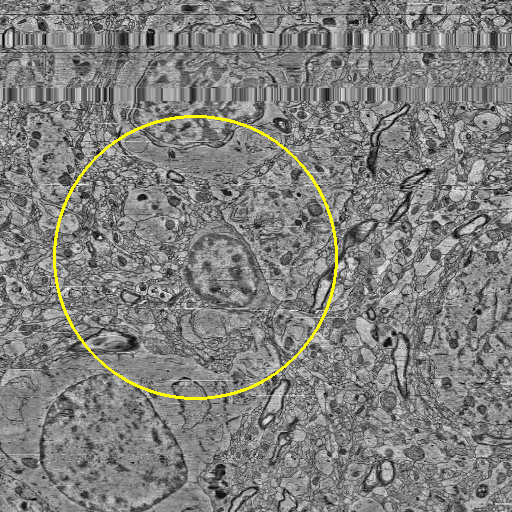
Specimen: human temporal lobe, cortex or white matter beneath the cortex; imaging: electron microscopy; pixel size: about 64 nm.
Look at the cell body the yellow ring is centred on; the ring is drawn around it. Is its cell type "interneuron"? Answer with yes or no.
No, its cell type is another.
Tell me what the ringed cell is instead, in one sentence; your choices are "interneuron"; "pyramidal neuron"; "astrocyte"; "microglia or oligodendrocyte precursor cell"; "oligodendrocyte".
The cell that the ring is centred on is an oligodendrocyte.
